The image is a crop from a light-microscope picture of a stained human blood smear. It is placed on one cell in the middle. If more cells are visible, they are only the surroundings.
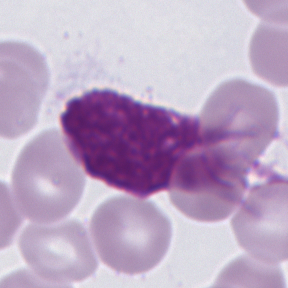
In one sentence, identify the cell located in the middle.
The cell in the middle of the field of view is a smudge cell.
